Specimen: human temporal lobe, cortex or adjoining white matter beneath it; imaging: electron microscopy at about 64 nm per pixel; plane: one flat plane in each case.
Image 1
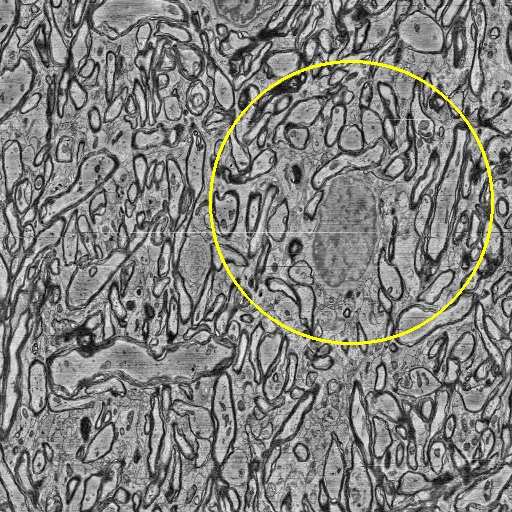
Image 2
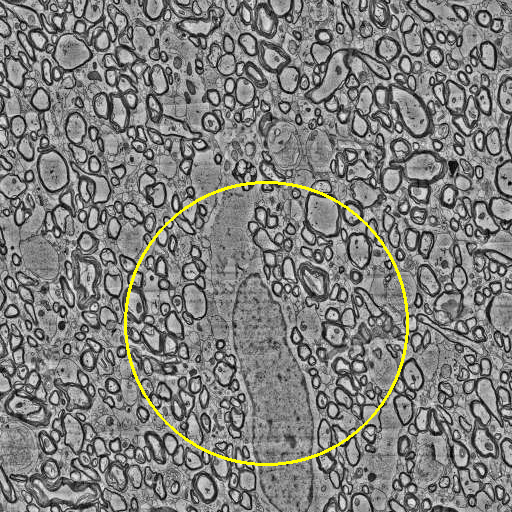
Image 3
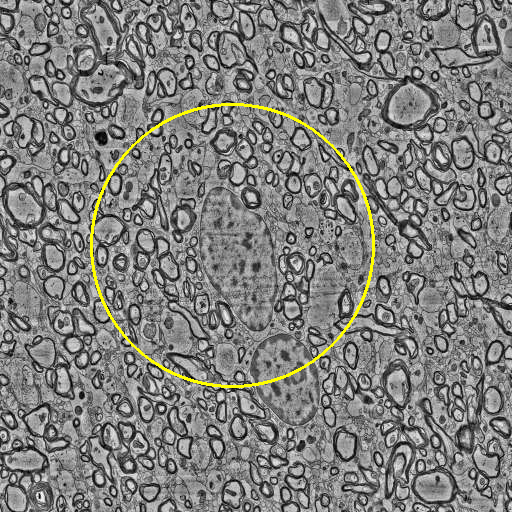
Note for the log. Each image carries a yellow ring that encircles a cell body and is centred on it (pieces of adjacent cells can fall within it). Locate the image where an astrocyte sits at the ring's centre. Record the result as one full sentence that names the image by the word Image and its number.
Image 2 has the wanted cell sitting at the centre of its ring.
